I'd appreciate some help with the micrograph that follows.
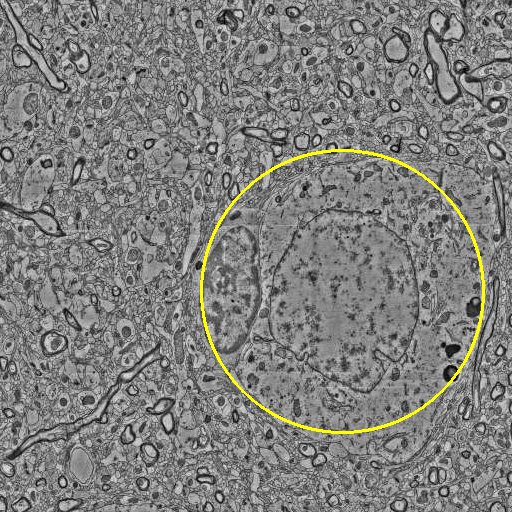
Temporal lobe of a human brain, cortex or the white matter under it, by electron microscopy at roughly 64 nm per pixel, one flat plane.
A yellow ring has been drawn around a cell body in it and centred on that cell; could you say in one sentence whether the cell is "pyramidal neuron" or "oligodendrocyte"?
It is a pyramidal neuron at the centre of the ring.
